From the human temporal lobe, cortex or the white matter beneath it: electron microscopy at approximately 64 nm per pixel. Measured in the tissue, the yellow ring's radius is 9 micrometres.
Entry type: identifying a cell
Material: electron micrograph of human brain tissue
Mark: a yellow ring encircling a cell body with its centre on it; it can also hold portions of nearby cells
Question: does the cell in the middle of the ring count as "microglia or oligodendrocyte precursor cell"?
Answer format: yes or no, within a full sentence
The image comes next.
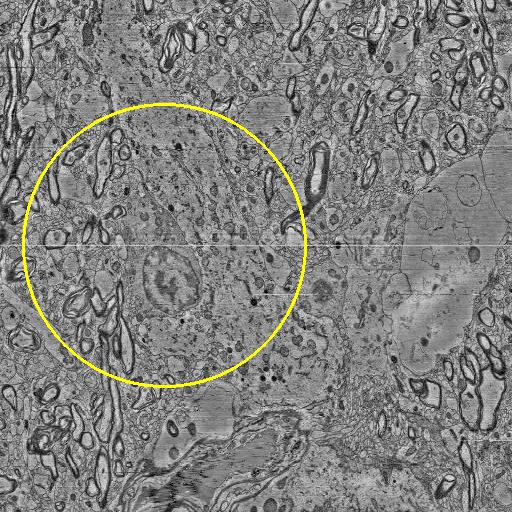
No, in the image, the cell in the middle of the yellow ring counts as a different kind.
